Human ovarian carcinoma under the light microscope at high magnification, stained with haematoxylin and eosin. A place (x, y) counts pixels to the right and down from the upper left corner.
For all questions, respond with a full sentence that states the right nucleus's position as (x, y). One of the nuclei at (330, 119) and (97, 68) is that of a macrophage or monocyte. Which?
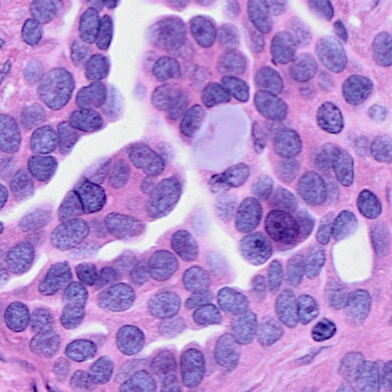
It is the nucleus at (330, 119) that forms part of a macrophage or monocyte.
